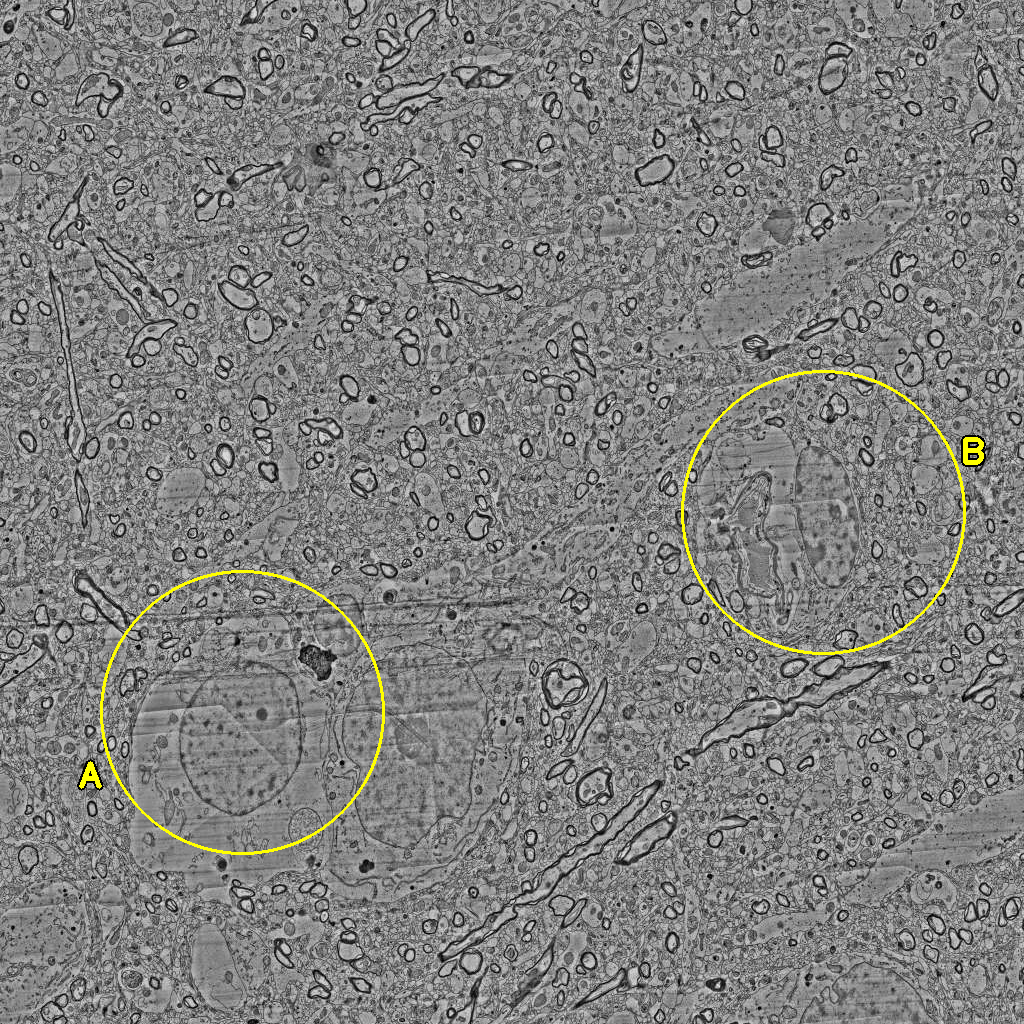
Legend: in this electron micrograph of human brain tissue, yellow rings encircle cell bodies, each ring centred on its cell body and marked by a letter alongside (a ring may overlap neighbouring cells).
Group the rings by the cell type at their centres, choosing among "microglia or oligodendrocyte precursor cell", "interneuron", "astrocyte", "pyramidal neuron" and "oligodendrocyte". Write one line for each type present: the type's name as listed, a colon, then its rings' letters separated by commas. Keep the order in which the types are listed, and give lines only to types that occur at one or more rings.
microglia or oligodendrocyte precursor cell: B
astrocyte: A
